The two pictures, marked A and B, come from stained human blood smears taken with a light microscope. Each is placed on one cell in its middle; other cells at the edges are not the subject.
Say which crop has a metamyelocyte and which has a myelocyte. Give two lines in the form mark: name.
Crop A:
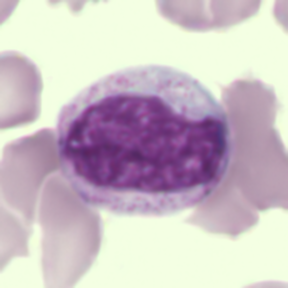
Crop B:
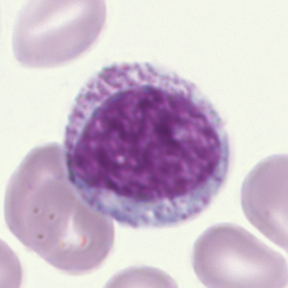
A: metamyelocyte
B: myelocyte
